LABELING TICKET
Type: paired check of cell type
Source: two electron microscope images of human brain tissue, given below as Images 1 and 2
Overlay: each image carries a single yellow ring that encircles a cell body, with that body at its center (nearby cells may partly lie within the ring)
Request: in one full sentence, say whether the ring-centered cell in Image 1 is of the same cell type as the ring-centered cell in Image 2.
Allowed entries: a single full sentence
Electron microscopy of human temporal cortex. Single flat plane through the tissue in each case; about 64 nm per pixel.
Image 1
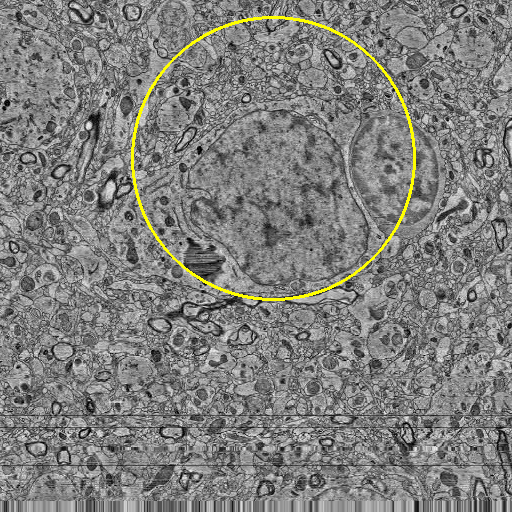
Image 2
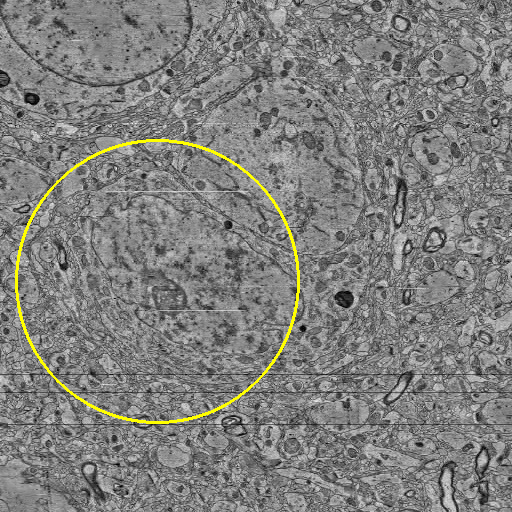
Yes, the cells centered in the rings of Image 1 and Image 2 share one type.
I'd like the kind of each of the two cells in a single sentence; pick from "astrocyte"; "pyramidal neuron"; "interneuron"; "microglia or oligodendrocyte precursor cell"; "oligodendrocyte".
Each one of the two ringed cells is an interneuron.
